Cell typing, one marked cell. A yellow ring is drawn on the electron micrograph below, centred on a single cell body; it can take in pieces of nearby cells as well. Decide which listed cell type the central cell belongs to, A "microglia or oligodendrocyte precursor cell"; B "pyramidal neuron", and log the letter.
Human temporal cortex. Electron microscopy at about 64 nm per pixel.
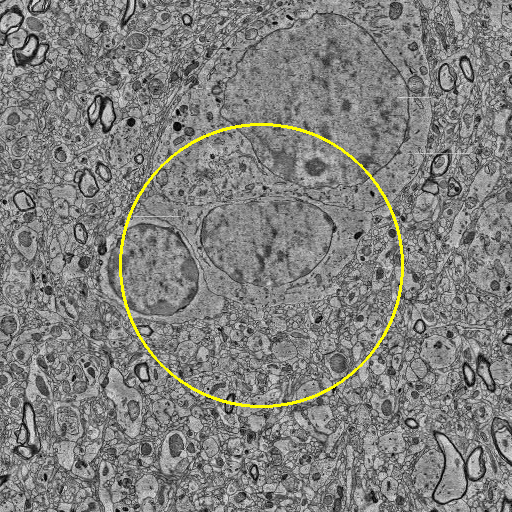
A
